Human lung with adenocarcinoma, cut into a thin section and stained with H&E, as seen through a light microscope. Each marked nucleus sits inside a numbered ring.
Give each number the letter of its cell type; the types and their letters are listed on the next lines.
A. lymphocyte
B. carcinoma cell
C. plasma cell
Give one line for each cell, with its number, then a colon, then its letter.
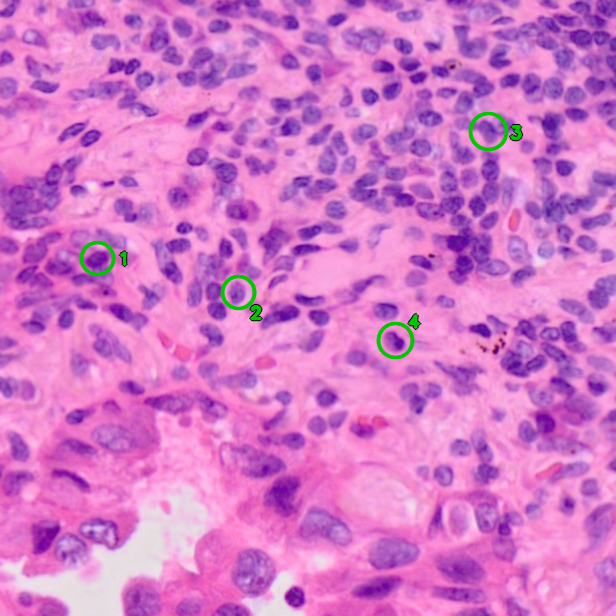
1: C
2: A
3: A
4: A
